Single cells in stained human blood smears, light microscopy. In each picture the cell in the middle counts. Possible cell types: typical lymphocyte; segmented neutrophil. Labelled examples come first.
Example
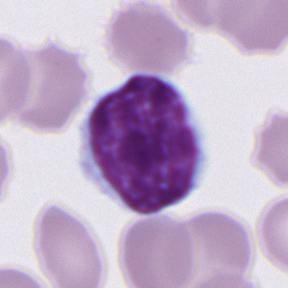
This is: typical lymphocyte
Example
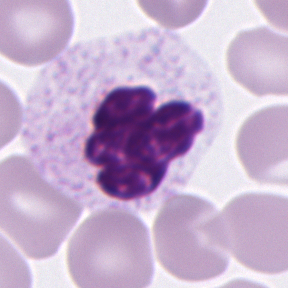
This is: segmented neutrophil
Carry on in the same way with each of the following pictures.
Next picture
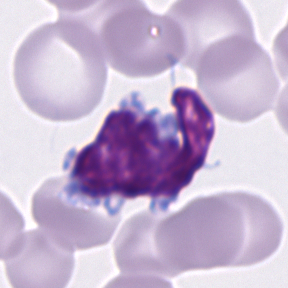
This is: typical lymphocyte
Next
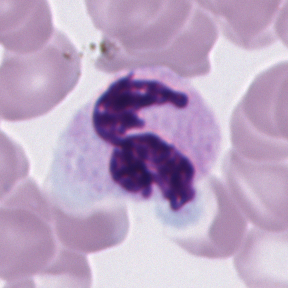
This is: segmented neutrophil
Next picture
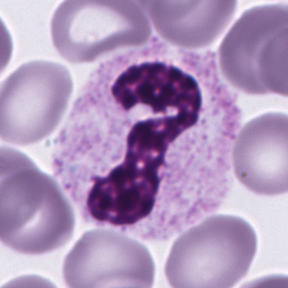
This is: segmented neutrophil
